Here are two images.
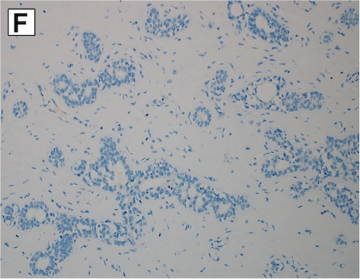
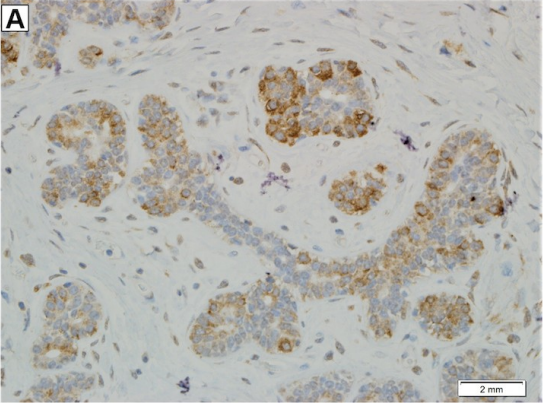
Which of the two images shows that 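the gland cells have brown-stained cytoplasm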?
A: the second image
